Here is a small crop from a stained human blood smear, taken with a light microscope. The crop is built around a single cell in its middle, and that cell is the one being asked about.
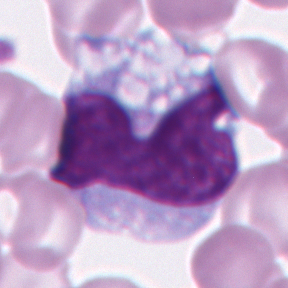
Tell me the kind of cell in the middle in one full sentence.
Located at the centre of the crop is a monocyte.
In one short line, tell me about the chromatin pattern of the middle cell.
Coarse clumps are absent, and the chromatin is fine throughout.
